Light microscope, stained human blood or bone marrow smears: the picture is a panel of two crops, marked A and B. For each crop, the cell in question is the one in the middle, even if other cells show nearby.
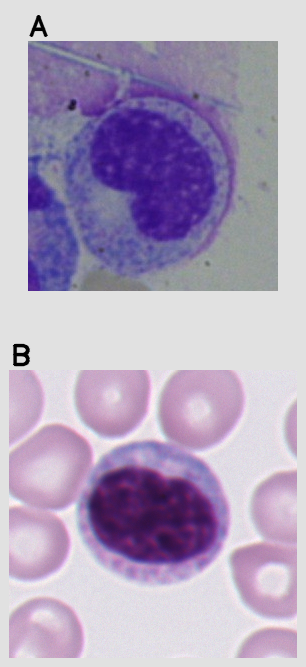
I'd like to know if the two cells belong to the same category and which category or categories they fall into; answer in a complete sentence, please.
Yes, put down metamyelocytes for both crops.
